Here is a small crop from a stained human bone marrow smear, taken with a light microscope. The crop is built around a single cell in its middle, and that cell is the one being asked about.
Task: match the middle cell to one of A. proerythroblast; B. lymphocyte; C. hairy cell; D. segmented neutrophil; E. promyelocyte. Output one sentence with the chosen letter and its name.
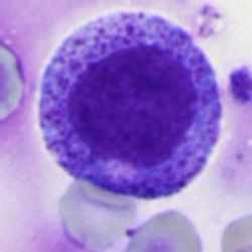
In the centre of the crop there is a promyelocyte, making option E correct.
